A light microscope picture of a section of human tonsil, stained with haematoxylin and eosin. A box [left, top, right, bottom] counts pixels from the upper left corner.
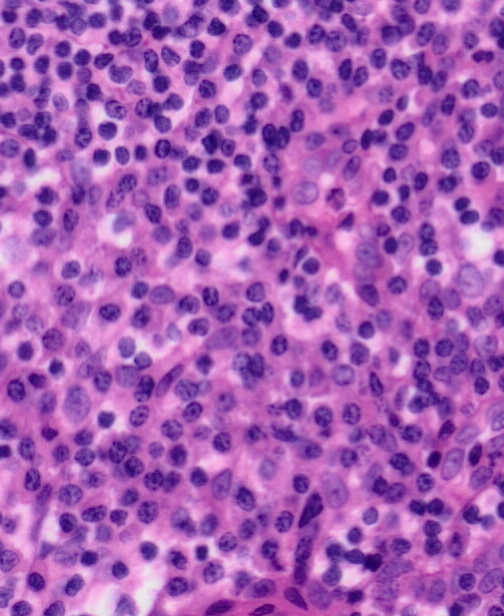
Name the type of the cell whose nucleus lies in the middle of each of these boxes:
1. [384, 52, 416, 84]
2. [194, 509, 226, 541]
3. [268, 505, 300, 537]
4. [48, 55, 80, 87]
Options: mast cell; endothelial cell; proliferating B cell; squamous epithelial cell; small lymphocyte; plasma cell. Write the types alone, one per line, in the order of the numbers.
plasma cell
plasma cell
plasma cell
small lymphocyte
